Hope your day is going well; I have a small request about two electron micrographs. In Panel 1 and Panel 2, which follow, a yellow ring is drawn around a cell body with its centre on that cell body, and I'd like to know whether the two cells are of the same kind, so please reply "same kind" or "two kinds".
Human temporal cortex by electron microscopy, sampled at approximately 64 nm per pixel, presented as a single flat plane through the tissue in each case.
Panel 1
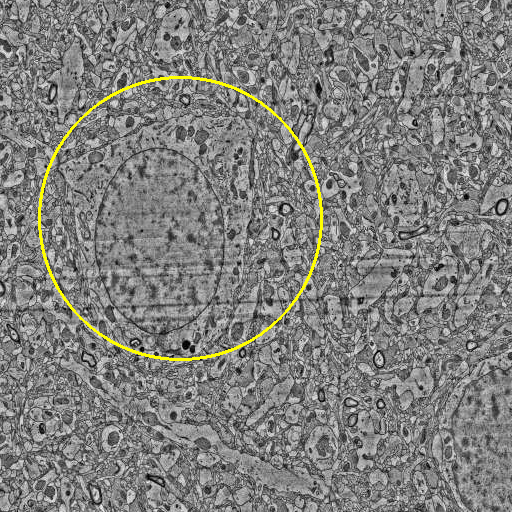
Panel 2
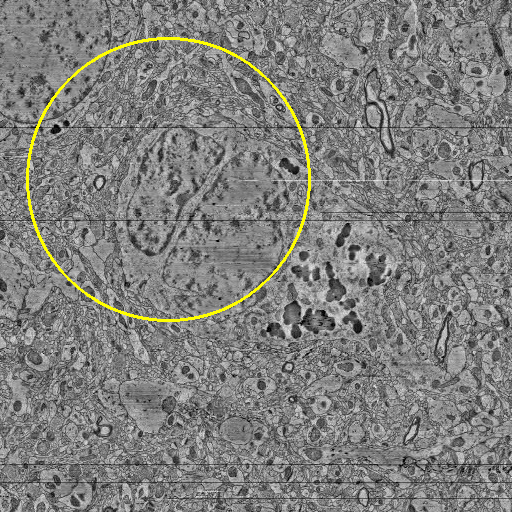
two kinds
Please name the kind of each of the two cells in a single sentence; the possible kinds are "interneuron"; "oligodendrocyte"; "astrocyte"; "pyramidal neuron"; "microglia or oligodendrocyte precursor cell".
In the first picture the ring is centred on a pyramidal neuron, and in the second on a microglial cell or oligodendrocyte precursor cell.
